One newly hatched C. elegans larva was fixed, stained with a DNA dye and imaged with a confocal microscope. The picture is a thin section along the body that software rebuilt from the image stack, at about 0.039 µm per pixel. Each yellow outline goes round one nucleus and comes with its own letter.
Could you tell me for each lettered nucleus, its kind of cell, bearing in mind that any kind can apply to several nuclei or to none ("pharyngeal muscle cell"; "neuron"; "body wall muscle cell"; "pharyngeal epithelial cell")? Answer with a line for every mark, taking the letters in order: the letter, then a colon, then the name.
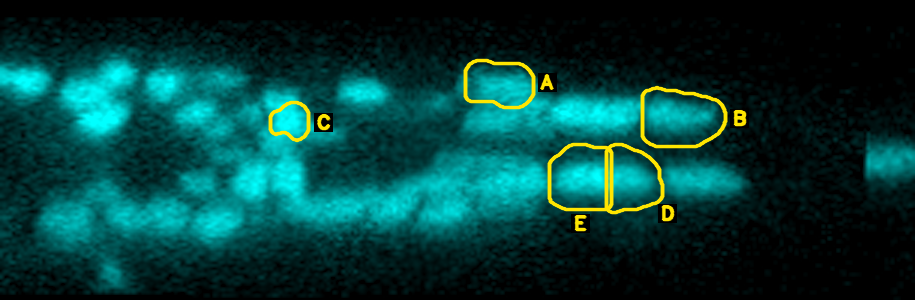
A: body wall muscle cell
B: pharyngeal epithelial cell
C: pharyngeal muscle cell
D: pharyngeal muscle cell
E: pharyngeal muscle cell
